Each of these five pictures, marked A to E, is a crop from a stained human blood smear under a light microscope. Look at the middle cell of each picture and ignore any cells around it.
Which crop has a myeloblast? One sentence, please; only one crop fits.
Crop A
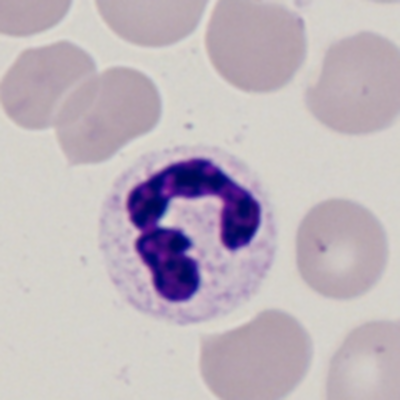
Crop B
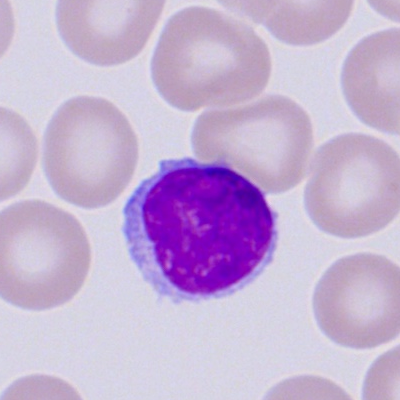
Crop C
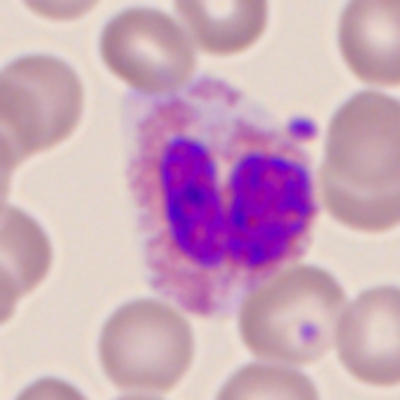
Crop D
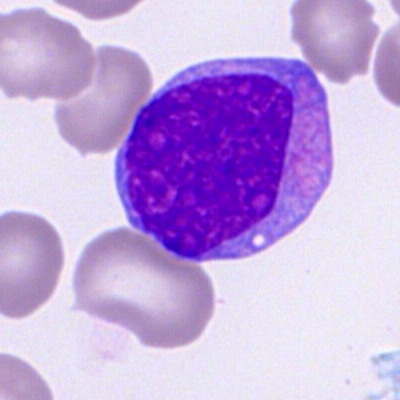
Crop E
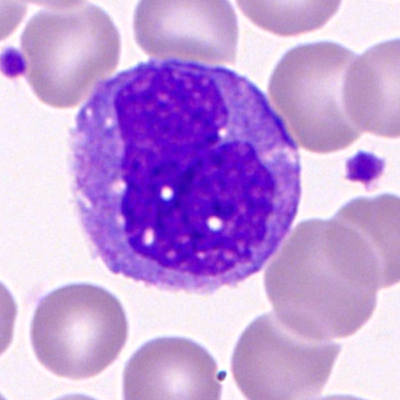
The crop showing a myeloblast in this series is crop D.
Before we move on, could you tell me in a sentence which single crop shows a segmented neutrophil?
Crop A is the one in this set that shows a segmented neutrophil.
